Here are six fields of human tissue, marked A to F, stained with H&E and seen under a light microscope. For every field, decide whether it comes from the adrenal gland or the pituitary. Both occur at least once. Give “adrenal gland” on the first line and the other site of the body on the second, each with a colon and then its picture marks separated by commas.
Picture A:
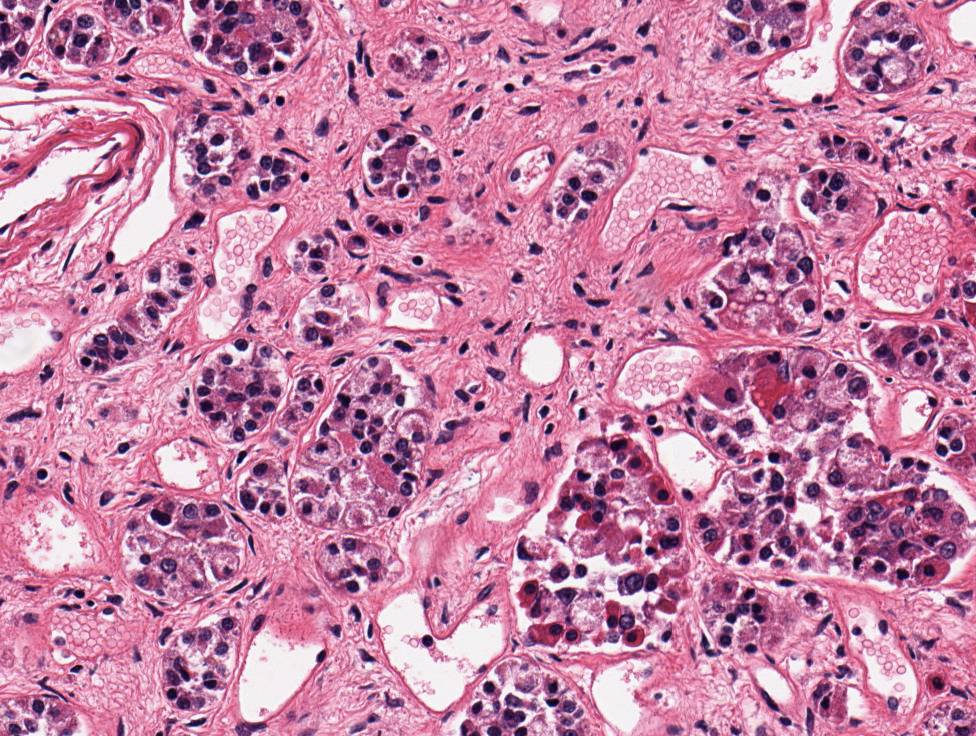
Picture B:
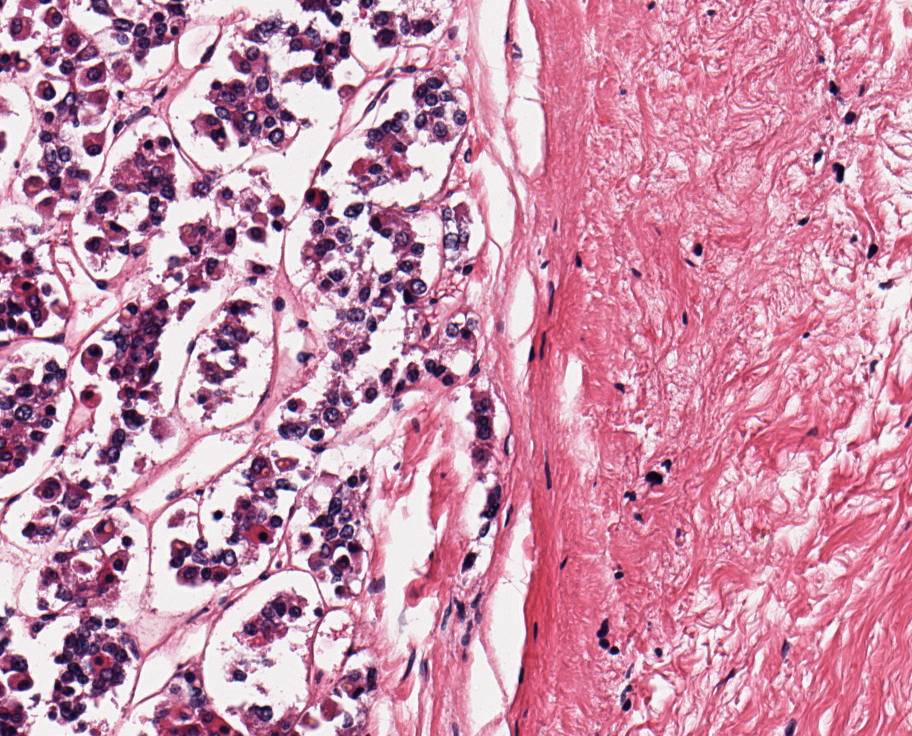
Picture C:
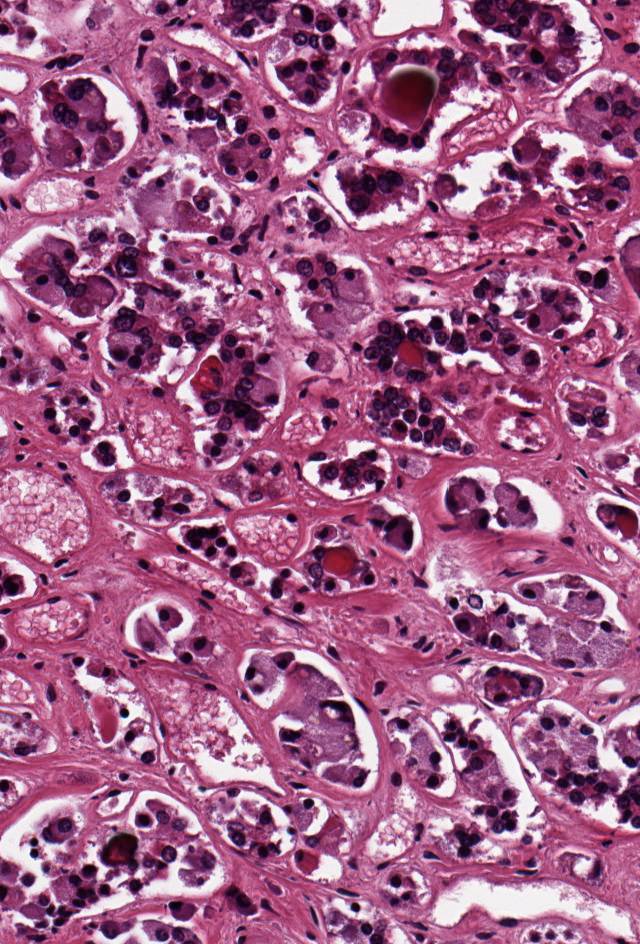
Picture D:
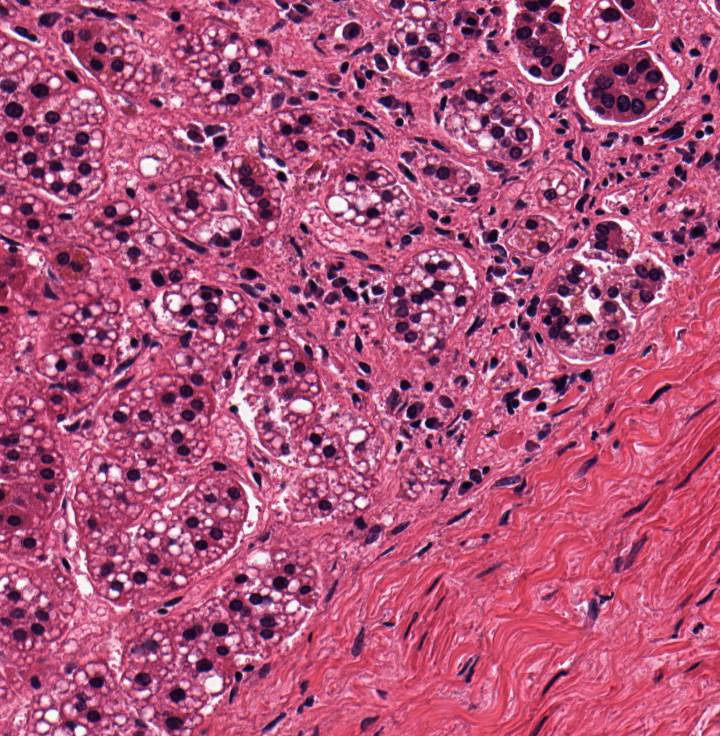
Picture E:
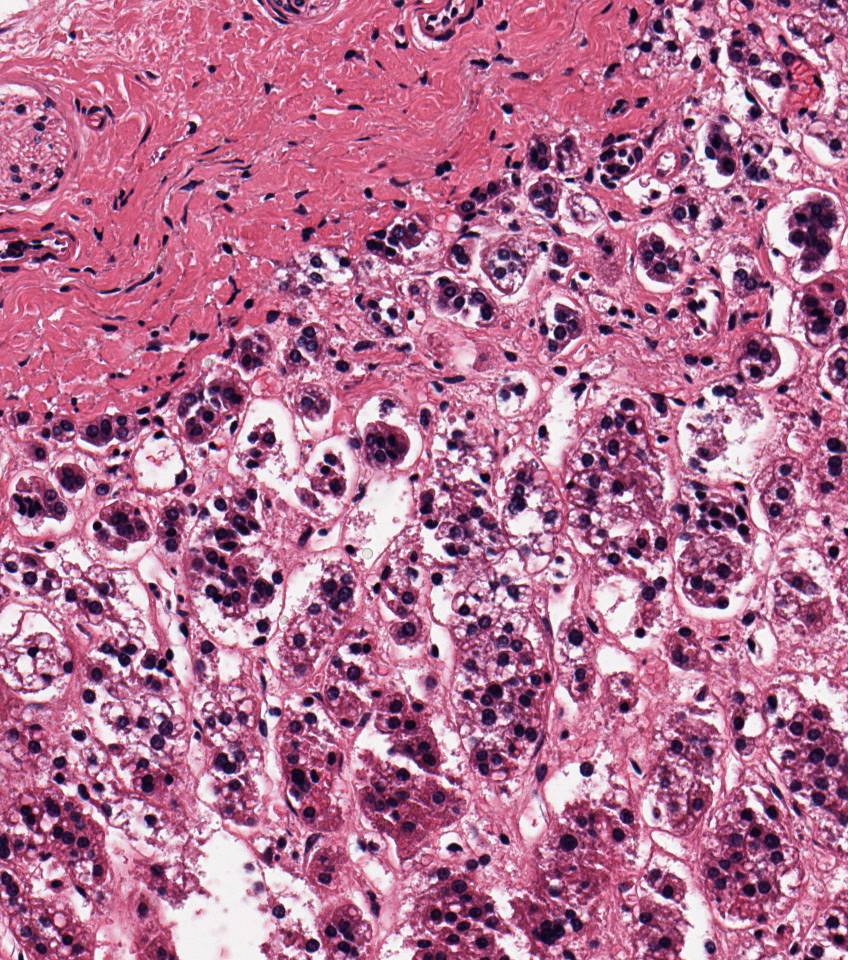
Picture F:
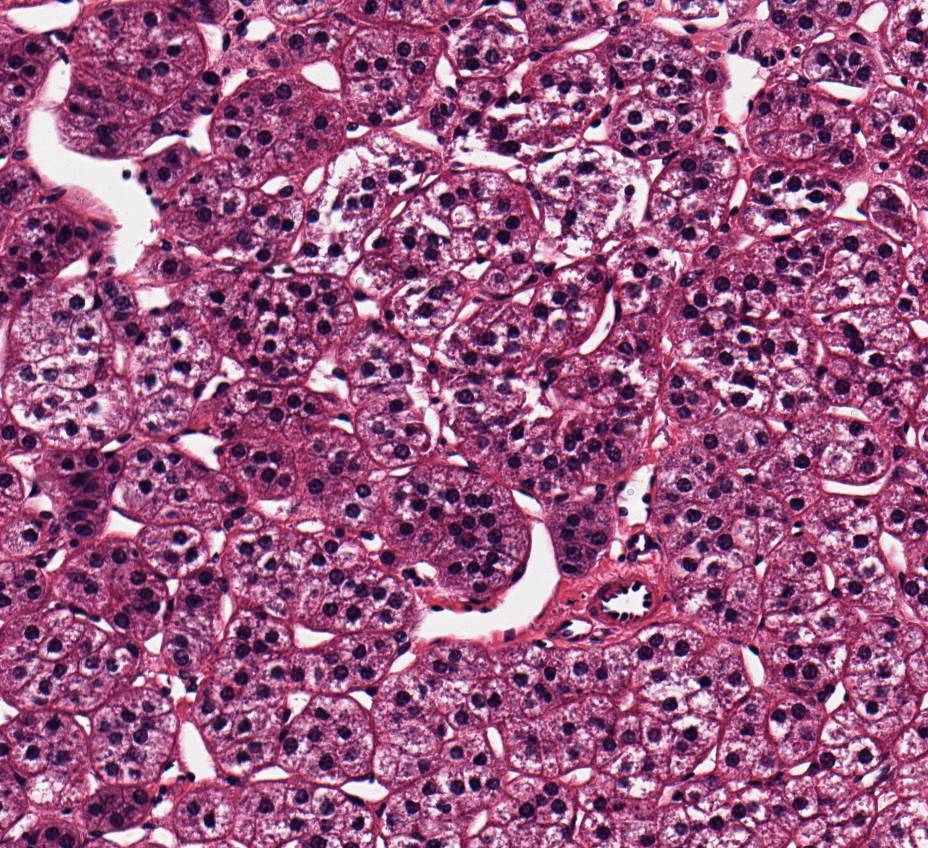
adrenal gland: D, E, F
pituitary: A, B, C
